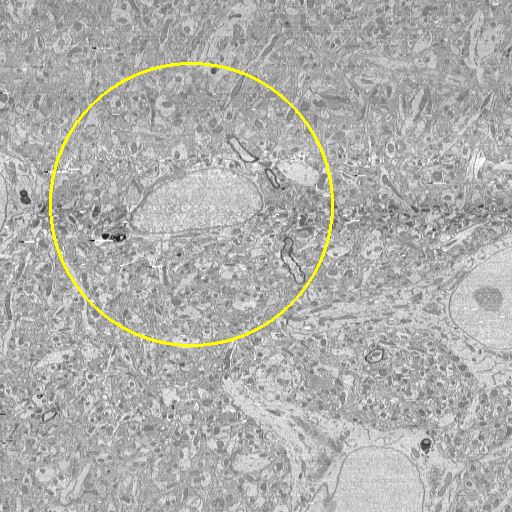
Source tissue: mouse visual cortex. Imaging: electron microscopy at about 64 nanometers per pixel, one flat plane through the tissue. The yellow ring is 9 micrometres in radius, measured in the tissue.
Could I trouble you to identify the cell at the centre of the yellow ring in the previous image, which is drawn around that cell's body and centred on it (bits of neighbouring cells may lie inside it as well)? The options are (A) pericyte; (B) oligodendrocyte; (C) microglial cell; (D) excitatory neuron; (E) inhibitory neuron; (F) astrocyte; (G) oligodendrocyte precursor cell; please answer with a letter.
F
